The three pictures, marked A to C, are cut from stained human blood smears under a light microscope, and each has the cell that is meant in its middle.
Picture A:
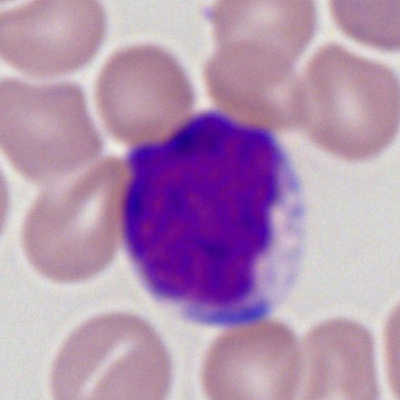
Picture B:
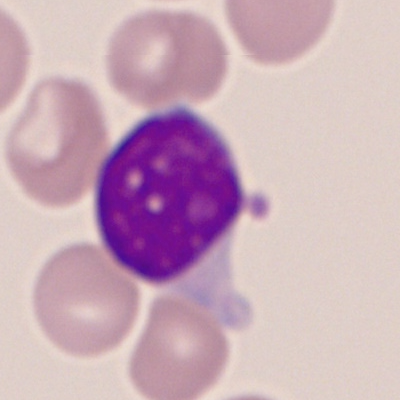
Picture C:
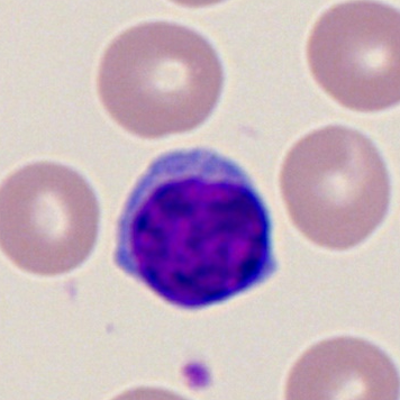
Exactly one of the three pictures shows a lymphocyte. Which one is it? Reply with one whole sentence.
Picture C shows the lymphocyte.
